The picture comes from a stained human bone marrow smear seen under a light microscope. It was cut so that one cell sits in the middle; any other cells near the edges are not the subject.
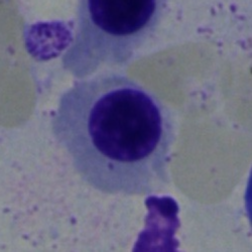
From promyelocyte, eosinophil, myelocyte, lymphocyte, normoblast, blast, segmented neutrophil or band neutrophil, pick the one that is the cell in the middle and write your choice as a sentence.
The crop's centre is taken up by a normoblast.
